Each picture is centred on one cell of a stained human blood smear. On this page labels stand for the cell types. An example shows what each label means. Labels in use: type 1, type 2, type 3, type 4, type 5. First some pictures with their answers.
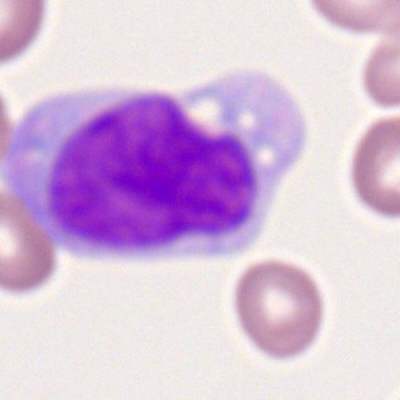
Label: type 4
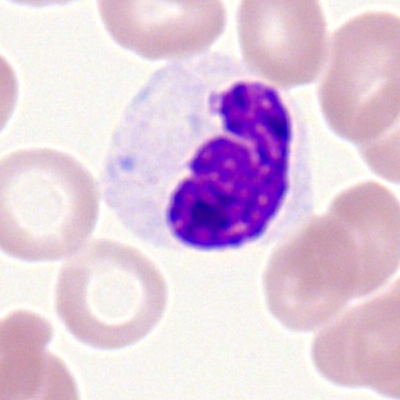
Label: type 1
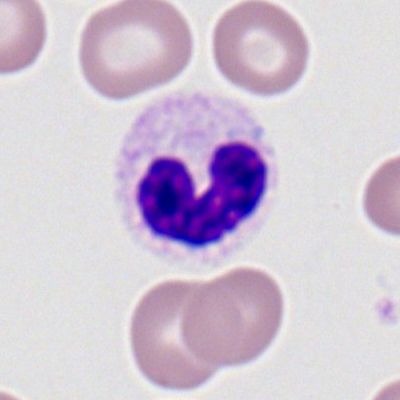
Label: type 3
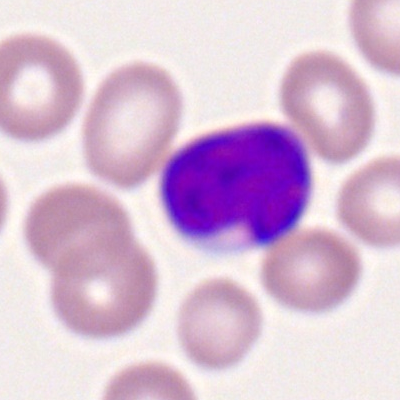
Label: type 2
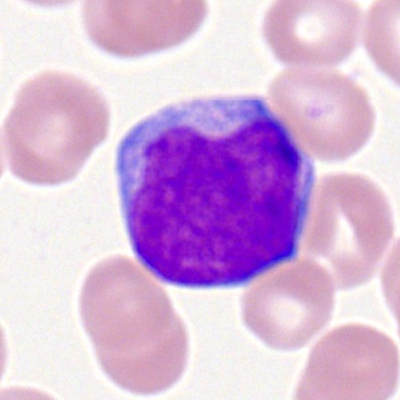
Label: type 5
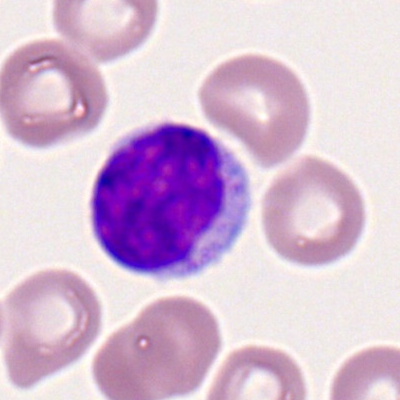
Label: type 2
